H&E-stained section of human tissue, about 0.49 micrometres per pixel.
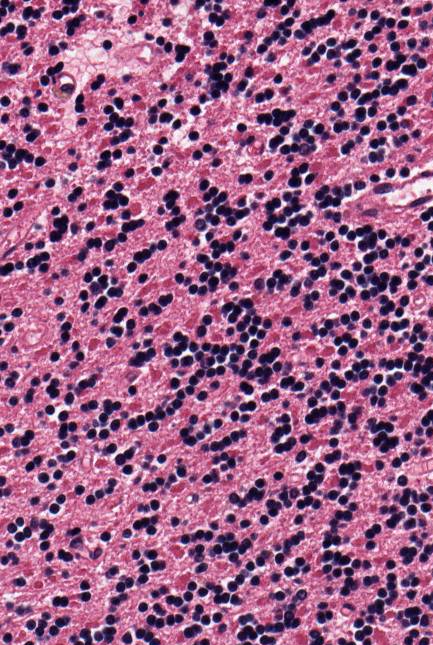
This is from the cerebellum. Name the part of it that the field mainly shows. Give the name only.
granular layer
